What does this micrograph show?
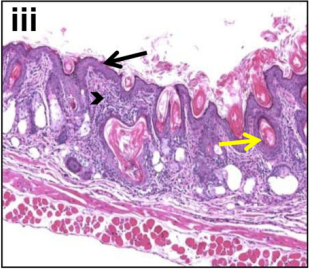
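Section of skin in which the epidermis is markedly thickened, with a layer of pink cornified material over its surface. Hair follicles beneath are distorted and dilated, several filled with pink keratinous material, and the dermis below holds many densely packed small dark nuclei of inflammatory cells; skeletal muscle fibres lie at the bottom.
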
